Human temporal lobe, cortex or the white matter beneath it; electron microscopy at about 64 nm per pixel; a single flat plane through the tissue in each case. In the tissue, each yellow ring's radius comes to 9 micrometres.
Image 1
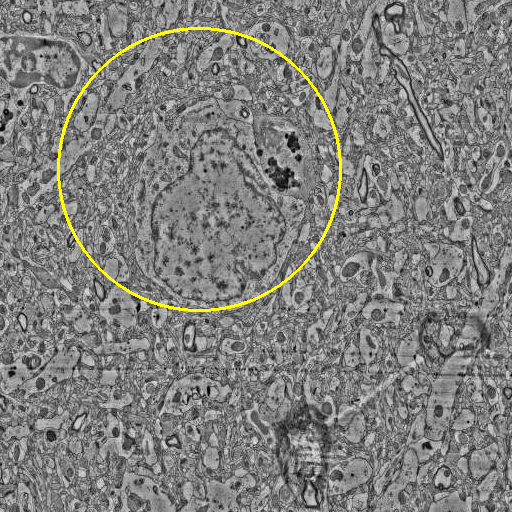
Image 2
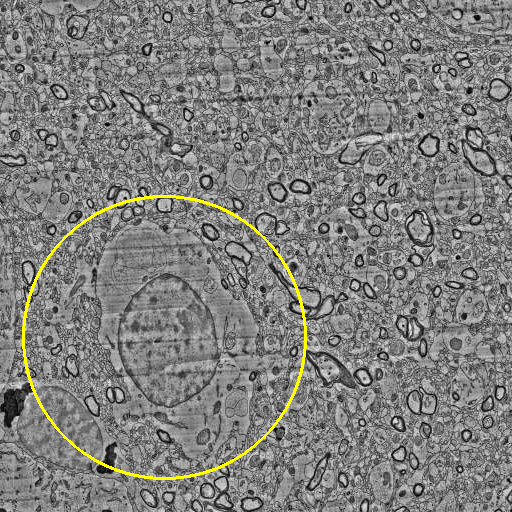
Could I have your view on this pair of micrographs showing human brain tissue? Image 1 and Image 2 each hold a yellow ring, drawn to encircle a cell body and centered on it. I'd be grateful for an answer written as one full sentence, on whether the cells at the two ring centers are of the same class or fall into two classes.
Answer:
The cells at the centers of the two rings fall into two classes.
